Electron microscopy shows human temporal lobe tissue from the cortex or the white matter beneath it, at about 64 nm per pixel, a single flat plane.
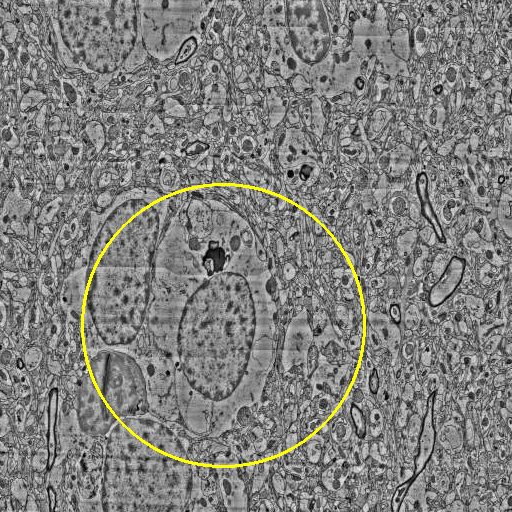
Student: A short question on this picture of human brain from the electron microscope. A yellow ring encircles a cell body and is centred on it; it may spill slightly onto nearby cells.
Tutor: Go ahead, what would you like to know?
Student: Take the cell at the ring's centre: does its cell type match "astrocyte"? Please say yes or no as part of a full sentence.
Yes, in the picture, the cell at the ring's centre has that cell type.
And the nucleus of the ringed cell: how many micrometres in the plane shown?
The nucleus comes to roughly 7 by 5 micrometres in this plane.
